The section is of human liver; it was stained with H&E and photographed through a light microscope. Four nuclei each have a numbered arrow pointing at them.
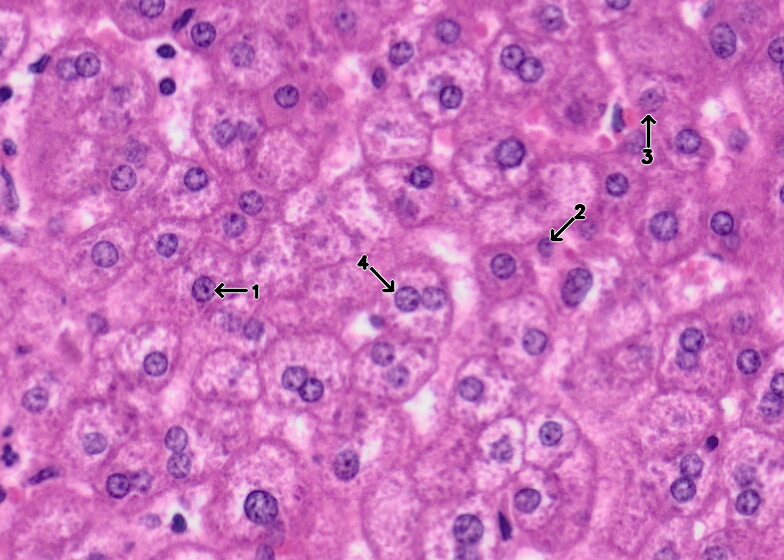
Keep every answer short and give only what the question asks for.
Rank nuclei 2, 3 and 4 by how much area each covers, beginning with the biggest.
4, 3, 2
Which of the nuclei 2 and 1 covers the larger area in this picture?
1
